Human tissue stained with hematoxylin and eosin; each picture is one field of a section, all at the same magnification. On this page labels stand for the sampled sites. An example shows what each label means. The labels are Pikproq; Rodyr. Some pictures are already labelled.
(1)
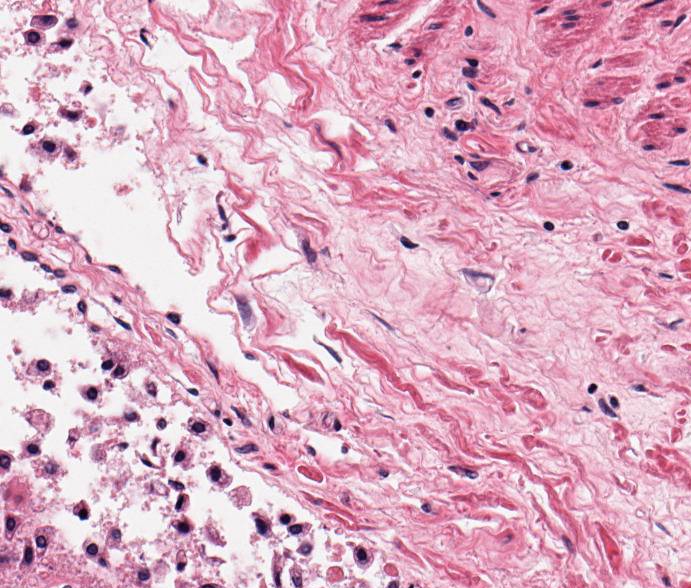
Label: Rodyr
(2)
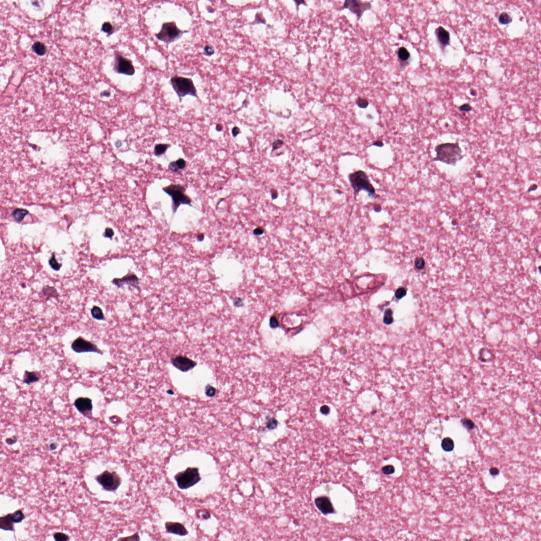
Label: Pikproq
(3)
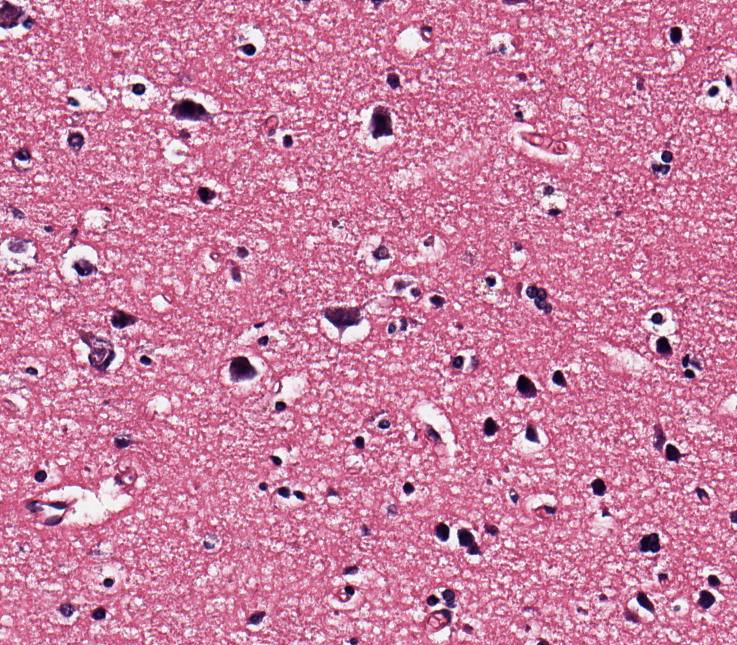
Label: Pikproq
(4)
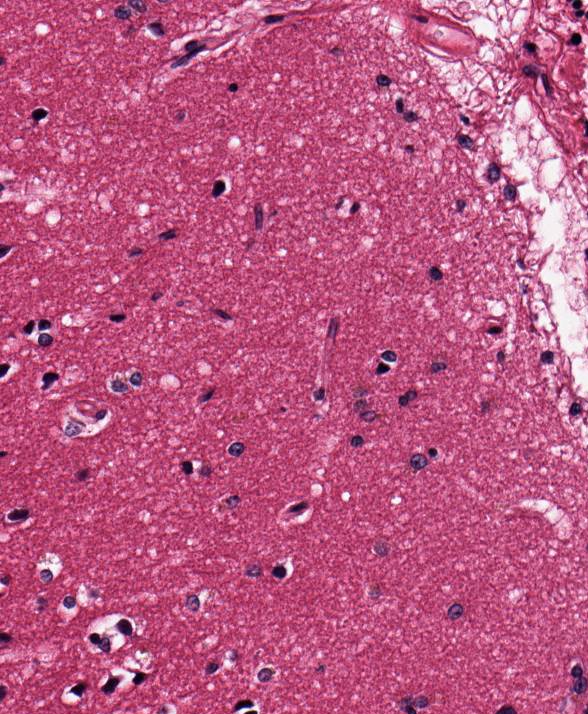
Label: Pikproq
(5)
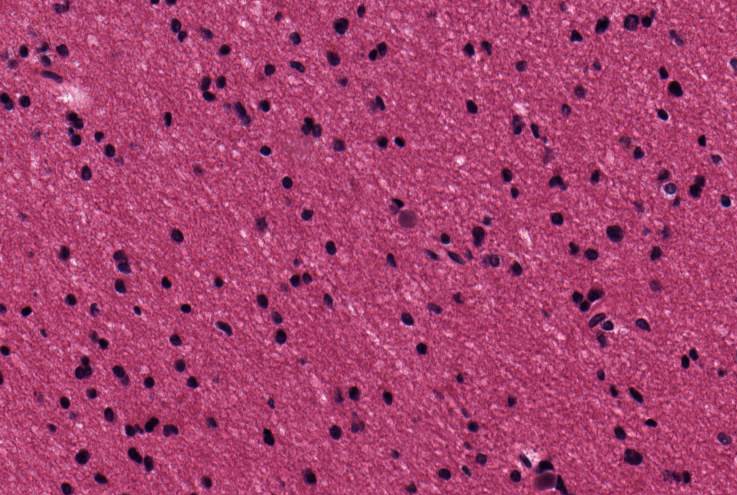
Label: Pikproq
